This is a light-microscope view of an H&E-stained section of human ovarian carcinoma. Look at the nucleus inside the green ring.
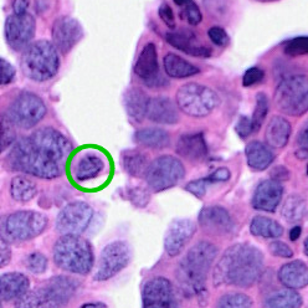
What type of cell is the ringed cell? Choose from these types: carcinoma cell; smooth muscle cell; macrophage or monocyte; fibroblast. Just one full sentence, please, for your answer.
For the purposes of cell typing, the ringed cell is categorized as a macrophage or monocyte.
